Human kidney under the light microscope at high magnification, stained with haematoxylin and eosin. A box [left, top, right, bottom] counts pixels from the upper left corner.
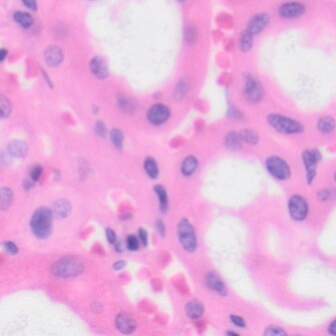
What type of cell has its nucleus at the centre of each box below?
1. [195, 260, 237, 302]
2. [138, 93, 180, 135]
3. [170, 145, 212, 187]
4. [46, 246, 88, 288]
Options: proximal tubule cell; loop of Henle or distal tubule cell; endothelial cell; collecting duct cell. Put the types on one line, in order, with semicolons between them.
collecting duct cell; collecting duct cell; collecting duct cell; proximal tubule cell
